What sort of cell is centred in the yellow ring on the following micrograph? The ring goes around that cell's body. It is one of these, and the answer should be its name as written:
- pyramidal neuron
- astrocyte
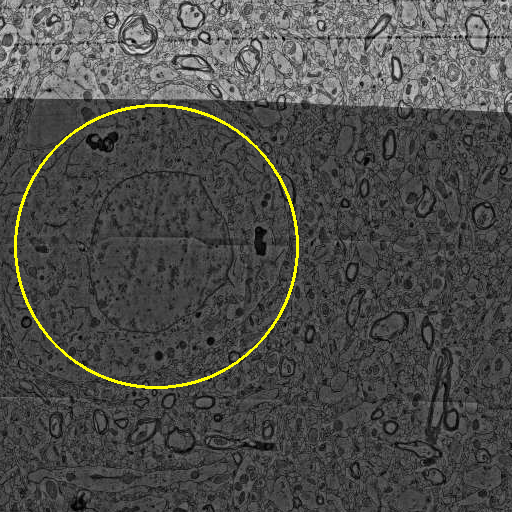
pyramidal neuron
